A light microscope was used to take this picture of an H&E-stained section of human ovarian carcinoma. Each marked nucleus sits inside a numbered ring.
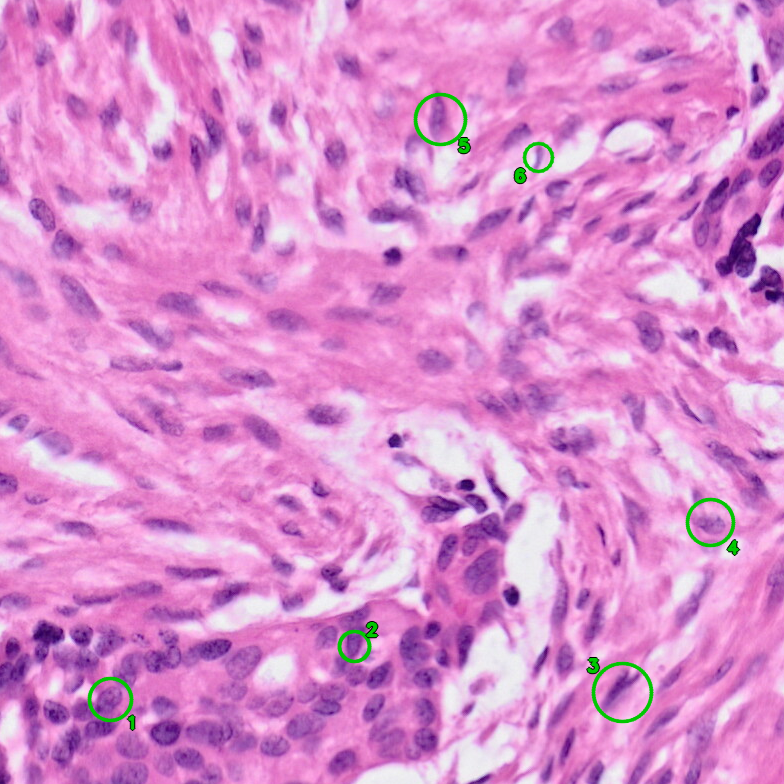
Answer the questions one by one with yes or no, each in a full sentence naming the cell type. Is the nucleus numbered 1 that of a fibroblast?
No, cell 1 represents a carcinoma cell rather than a fibroblast.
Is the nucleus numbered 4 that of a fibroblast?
Yes, the cell that goes by number 4 is a fibroblast.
